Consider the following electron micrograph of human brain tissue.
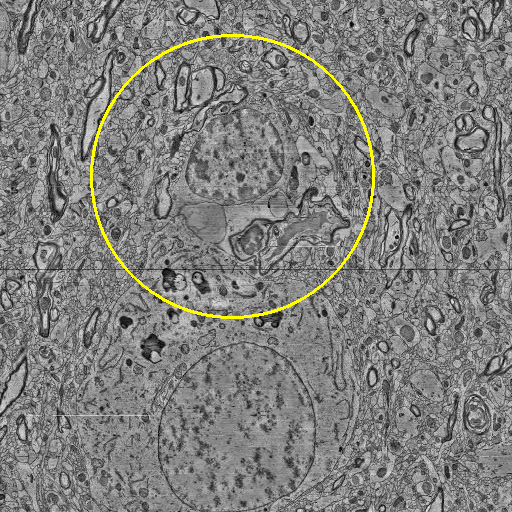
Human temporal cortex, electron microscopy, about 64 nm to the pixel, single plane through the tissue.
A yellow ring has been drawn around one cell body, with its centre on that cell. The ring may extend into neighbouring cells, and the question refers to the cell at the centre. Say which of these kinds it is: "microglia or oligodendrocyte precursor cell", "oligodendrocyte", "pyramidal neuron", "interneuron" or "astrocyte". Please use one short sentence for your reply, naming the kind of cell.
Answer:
The centre of the ring falls on an oligodendrocyte.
